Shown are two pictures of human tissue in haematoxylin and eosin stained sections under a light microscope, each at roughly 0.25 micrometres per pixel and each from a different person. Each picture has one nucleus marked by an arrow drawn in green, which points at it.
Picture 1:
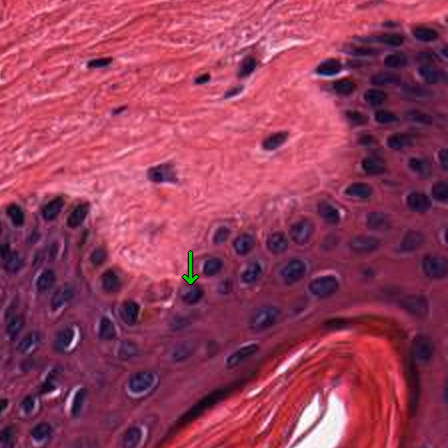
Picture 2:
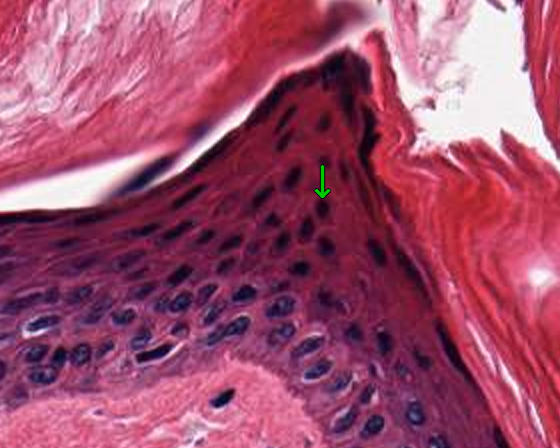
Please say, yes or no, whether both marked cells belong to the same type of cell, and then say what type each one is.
Yes, both are keratinocytes.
